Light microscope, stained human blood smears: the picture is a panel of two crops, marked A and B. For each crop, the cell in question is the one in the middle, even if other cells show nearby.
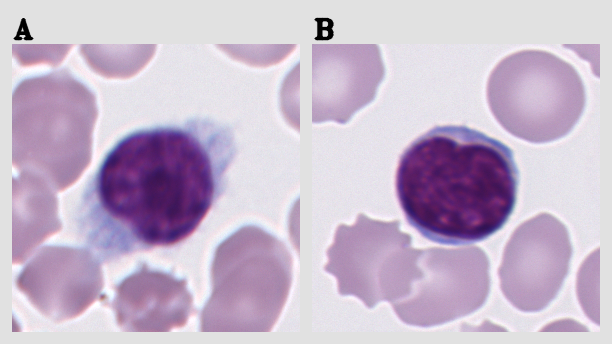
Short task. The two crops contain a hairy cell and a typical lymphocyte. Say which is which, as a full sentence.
Classification: crop A is a hairy cell, crop B is a typical lymphocyte.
